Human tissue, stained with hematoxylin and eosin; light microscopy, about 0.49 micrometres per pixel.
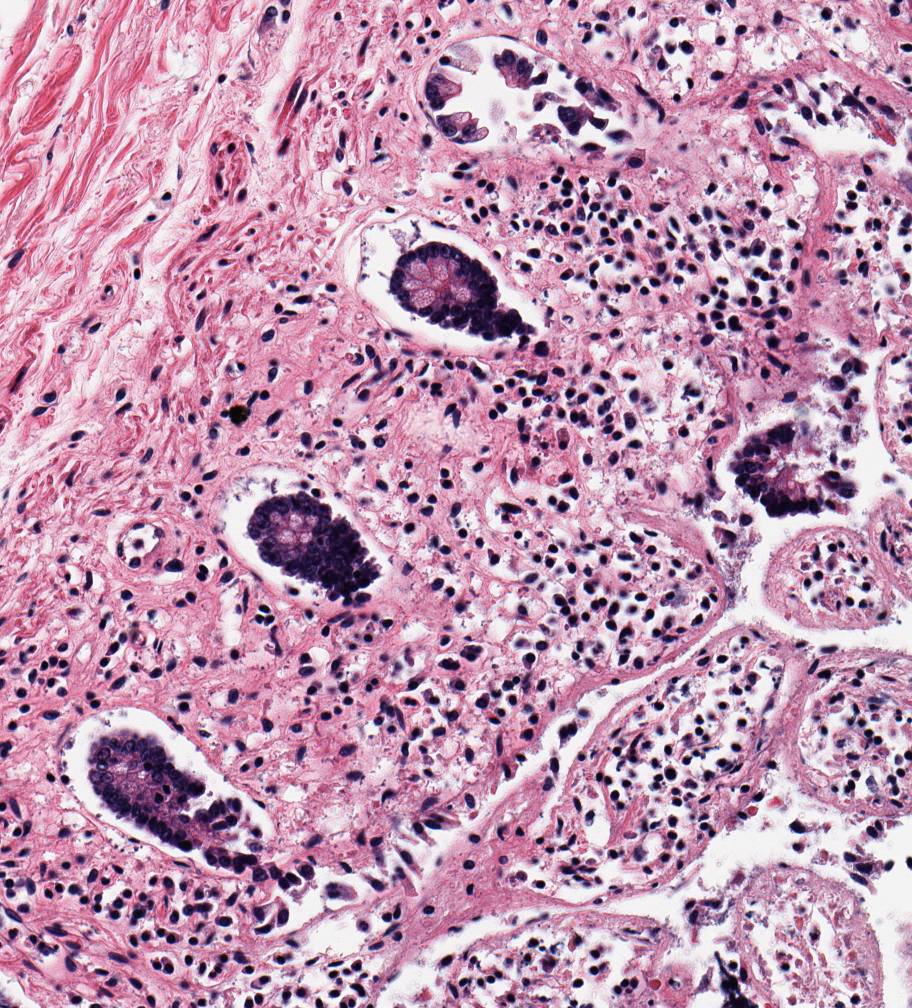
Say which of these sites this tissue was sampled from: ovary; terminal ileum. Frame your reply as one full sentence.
Tissue was sampled from the terminal ileum for this slide.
